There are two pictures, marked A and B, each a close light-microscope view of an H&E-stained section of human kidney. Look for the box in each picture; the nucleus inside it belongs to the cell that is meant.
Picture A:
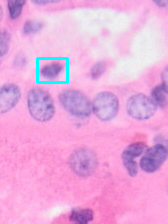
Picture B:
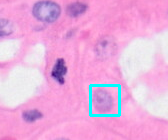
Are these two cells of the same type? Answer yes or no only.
no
